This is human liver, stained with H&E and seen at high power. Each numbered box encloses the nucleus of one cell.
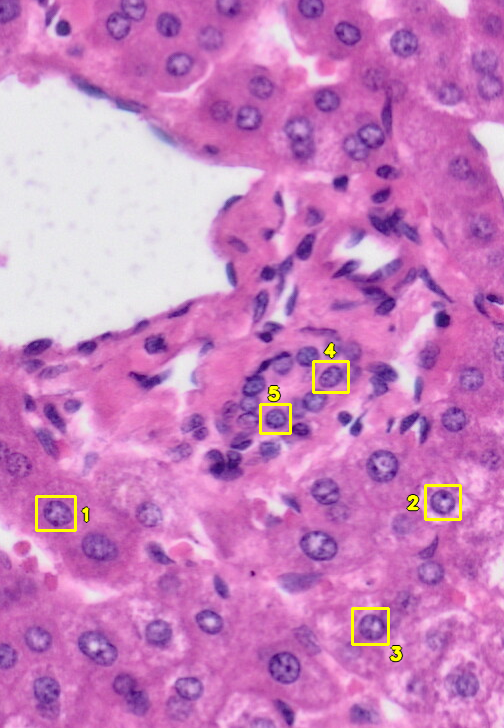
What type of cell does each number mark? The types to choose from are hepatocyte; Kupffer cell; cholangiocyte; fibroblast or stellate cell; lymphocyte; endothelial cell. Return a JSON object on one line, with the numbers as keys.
{"1": "hepatocyte", "2": "hepatocyte", "3": "hepatocyte", "4": "cholangiocyte", "5": "cholangiocyte"}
